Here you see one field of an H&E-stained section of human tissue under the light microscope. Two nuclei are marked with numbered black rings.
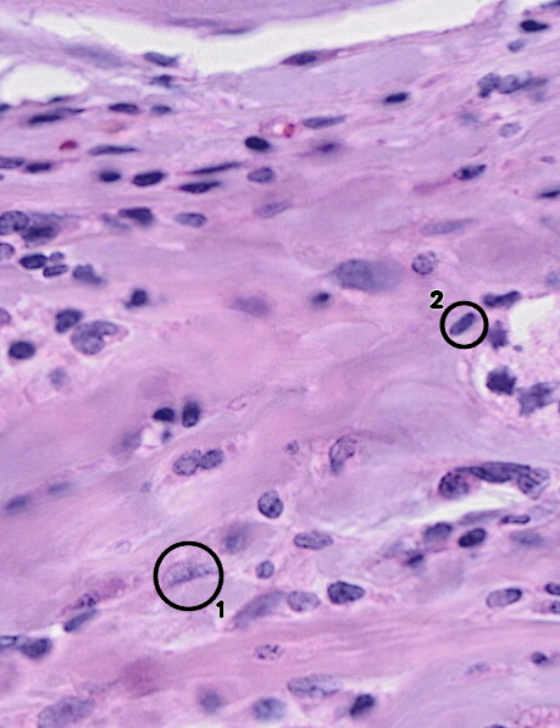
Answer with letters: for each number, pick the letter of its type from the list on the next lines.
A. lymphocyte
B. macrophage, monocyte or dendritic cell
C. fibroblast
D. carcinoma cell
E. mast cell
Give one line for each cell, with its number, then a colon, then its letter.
1: C
2: A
